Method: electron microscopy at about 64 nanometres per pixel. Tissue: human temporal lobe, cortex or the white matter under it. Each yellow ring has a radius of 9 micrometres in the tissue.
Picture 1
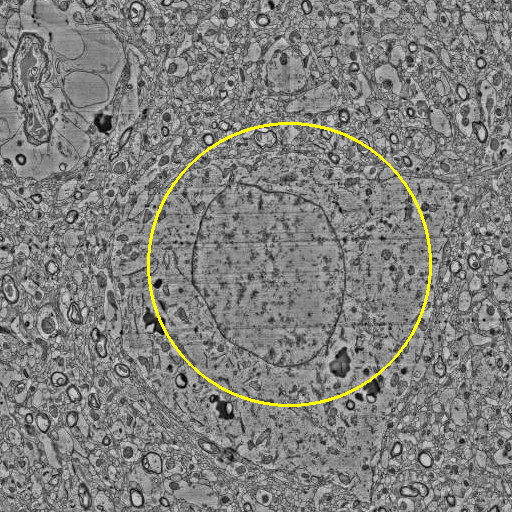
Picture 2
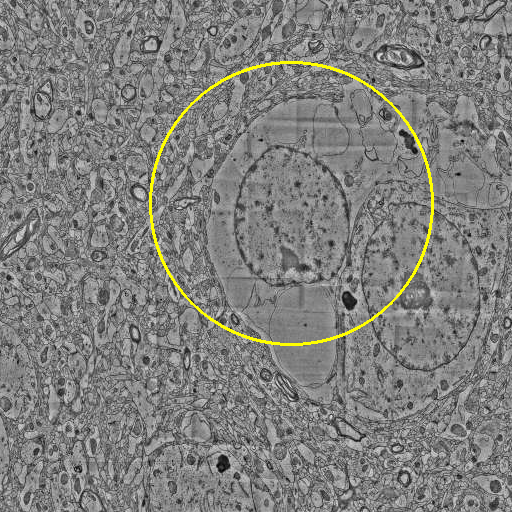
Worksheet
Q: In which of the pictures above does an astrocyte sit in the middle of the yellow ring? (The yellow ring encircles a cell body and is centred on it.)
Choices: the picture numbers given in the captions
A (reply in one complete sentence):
In picture 2, the cell sitting at the centre of the ring is the match.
